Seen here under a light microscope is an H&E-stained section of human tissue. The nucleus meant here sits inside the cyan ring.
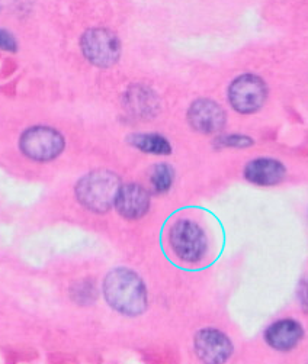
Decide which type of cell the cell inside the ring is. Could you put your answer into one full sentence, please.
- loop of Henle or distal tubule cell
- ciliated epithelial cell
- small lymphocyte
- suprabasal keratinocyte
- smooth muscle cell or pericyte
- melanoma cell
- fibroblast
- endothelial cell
In the tissue at hand, the cell inside the ring is a loop of Henle or distal tubule cell.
